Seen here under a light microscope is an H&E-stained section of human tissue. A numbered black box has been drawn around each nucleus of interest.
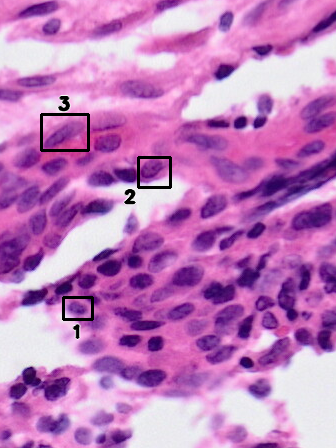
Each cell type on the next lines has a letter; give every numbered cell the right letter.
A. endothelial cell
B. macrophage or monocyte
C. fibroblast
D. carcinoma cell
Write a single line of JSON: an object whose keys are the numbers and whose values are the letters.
{"1": "B", "2": "D", "3": "A"}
